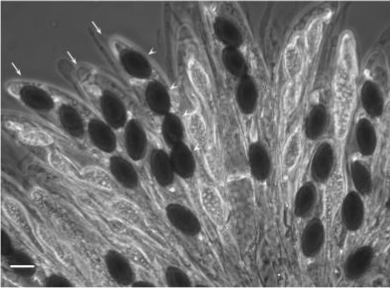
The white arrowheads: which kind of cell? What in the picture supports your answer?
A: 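The arrowheads point to dark oval bodies lying in a row. The oval bodies lie inside elongated sacs. The answer: ascospores.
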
